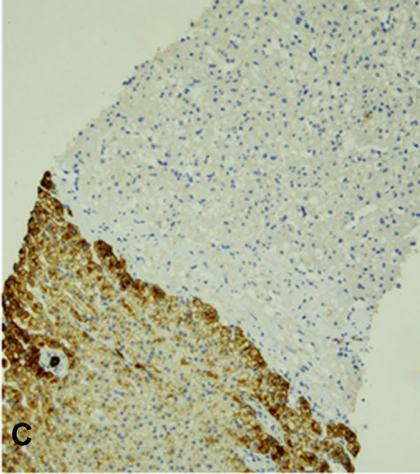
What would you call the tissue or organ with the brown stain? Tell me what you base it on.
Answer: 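Brown stain fills the lower left part of the core. The stained tissue is made of polygonal cells in plates around a small vessel. The adjacent upper part is unstained with only blue nuclei. So: regular liver tissue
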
